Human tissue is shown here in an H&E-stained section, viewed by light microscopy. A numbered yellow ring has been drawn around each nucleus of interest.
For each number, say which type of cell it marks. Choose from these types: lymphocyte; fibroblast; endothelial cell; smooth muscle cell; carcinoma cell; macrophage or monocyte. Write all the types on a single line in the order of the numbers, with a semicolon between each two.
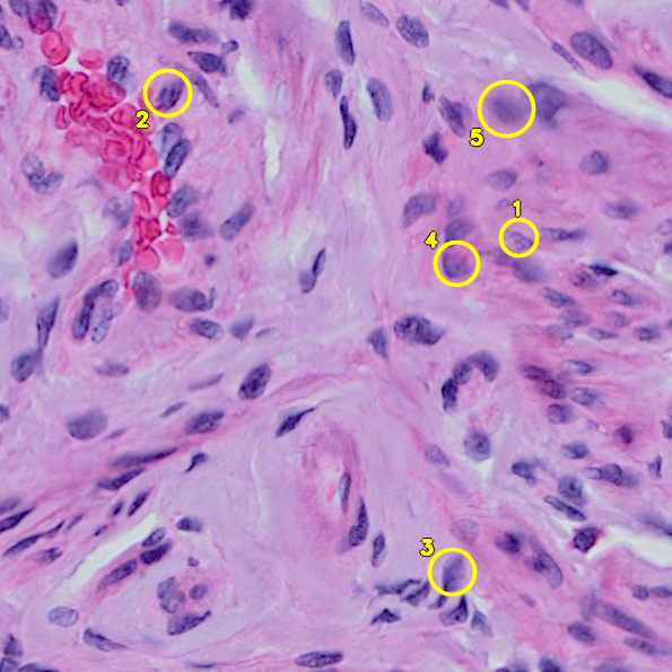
smooth muscle cell; endothelial cell; fibroblast; smooth muscle cell; fibroblast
